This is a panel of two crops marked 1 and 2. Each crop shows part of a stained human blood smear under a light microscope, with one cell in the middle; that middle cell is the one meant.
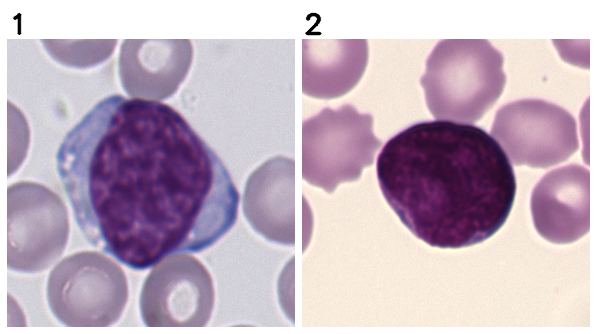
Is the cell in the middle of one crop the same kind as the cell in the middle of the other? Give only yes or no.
yes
